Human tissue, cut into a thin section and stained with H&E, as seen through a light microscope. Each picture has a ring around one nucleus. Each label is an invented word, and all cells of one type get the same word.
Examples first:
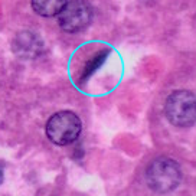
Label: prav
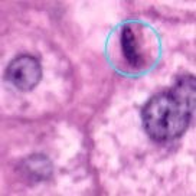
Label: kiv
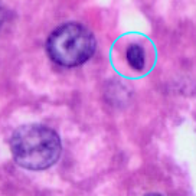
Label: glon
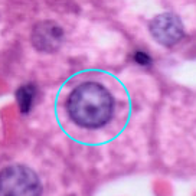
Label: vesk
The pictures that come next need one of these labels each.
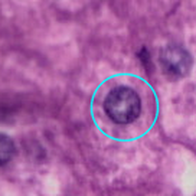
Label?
vesk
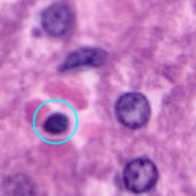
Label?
glon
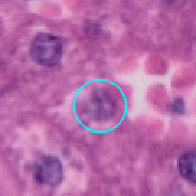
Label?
vesk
